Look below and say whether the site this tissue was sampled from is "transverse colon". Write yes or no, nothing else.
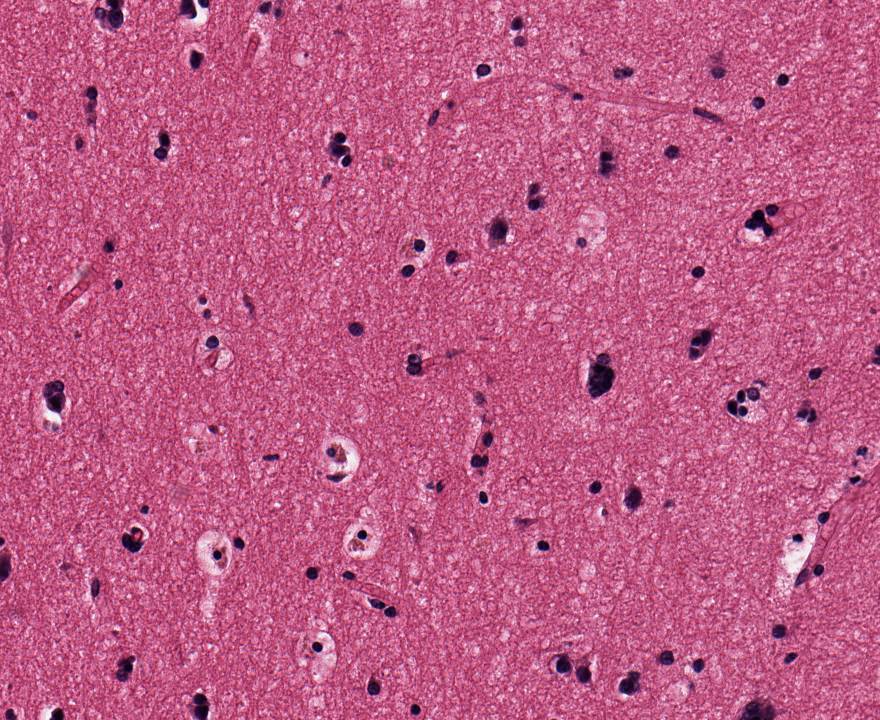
no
